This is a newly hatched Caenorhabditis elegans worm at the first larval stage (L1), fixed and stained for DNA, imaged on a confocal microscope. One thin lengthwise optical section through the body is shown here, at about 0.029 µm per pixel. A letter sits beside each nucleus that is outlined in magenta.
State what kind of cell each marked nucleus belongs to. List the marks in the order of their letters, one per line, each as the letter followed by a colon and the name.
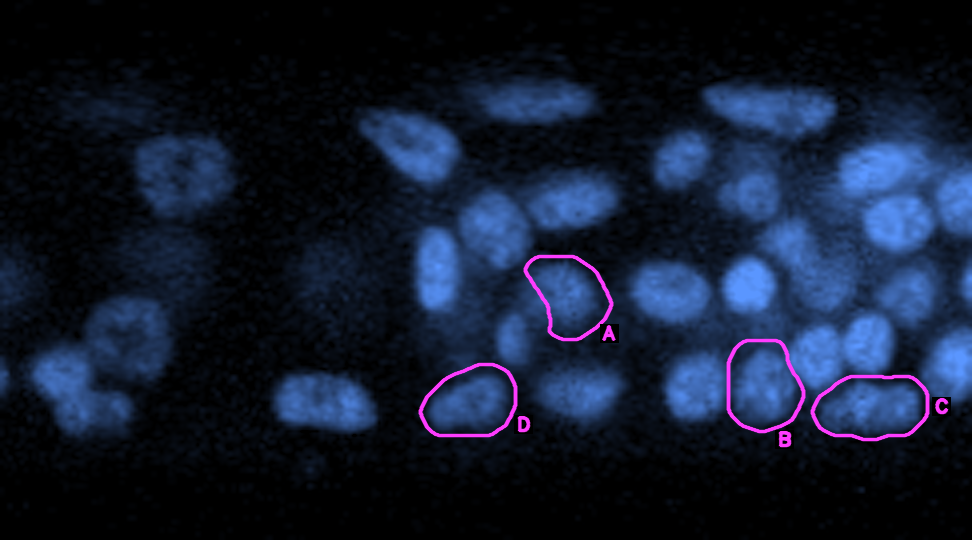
A: pharyngeal muscle cell
B: neuron
C: body wall muscle cell
D: body wall muscle cell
